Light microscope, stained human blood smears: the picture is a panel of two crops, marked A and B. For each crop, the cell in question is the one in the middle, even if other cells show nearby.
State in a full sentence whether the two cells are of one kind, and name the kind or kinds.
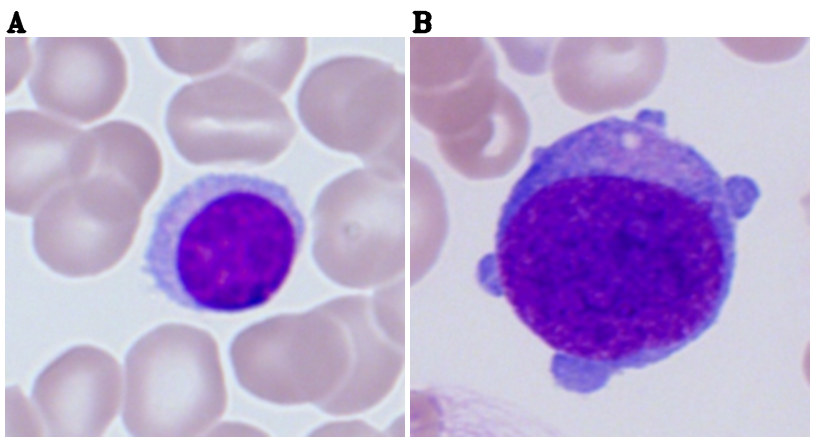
No, whereas crop A shows a lymphocyte, crop B shows a myeloblast.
